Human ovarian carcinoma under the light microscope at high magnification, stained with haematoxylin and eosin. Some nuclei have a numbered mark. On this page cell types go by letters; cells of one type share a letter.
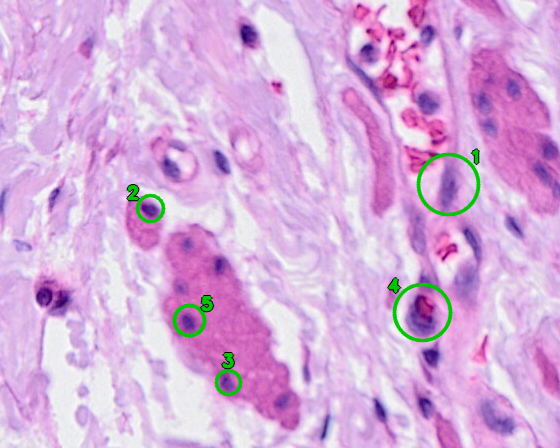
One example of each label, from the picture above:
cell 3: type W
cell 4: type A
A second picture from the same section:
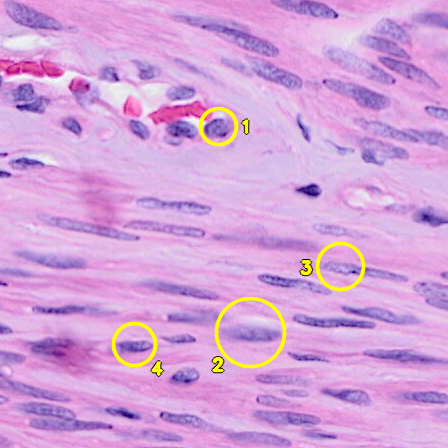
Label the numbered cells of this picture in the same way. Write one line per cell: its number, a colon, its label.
1: type A
2: type W
3: type W
4: type W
